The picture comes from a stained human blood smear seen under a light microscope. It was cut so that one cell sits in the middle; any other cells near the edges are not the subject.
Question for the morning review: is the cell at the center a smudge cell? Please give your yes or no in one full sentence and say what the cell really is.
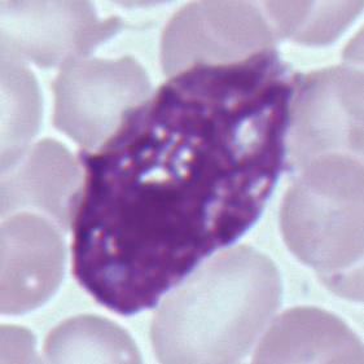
Yes, the middle cell is classified as a smudge cell.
